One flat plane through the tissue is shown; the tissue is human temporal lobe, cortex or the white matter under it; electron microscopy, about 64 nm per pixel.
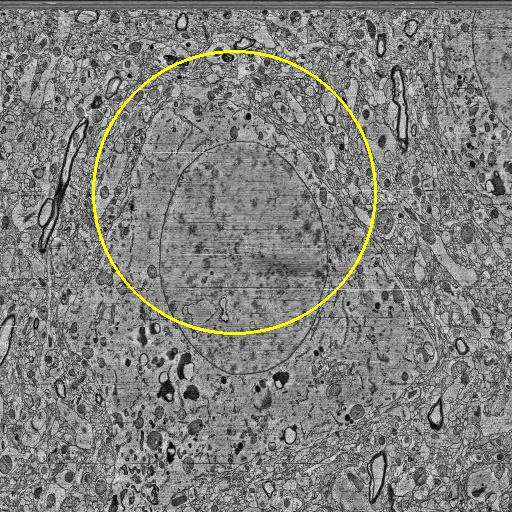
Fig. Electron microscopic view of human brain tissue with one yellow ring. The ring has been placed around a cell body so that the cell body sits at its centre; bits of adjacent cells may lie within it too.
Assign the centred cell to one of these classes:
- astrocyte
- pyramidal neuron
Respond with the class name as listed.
pyramidal neuron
